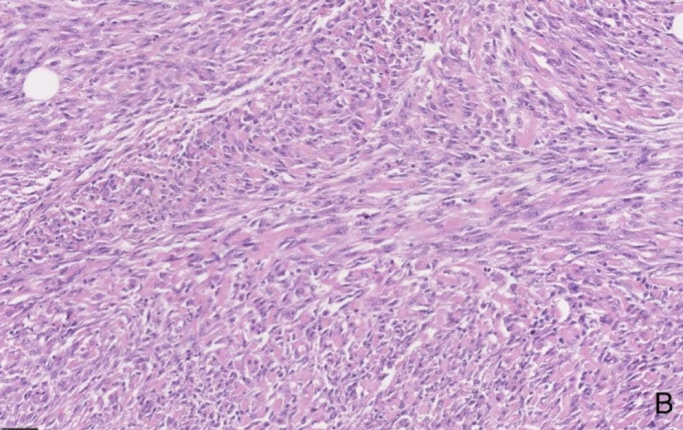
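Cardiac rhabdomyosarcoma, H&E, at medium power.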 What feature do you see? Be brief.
Fascicles.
